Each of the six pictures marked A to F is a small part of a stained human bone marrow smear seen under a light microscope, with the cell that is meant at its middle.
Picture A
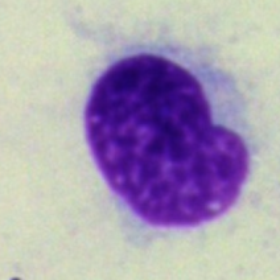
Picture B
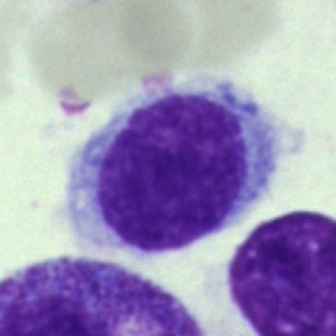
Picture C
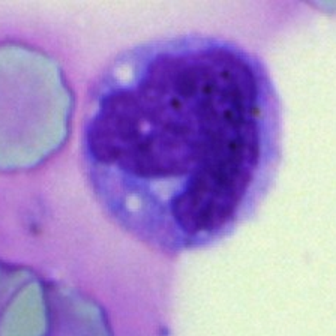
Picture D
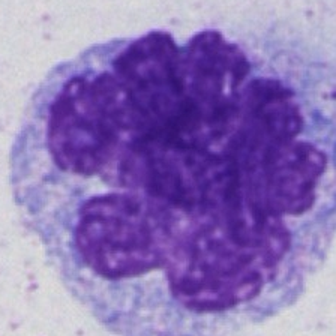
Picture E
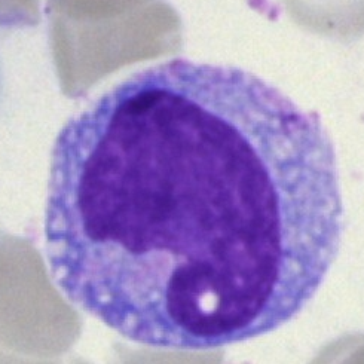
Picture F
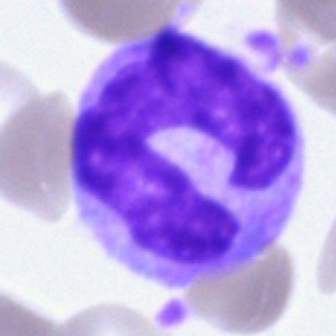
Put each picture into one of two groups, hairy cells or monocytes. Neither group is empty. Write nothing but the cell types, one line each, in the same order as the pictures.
hairy cell
hairy cell
monocyte
monocyte
monocyte
monocyte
